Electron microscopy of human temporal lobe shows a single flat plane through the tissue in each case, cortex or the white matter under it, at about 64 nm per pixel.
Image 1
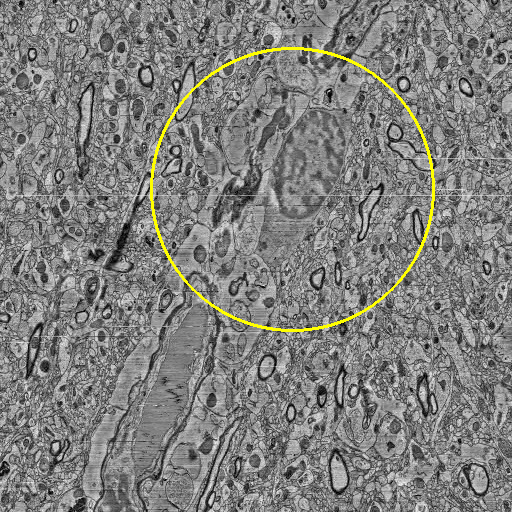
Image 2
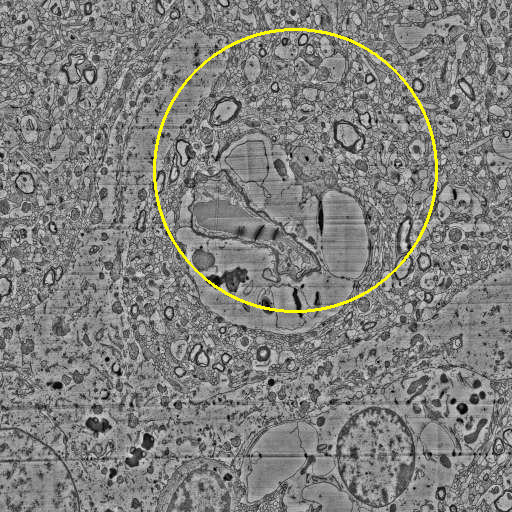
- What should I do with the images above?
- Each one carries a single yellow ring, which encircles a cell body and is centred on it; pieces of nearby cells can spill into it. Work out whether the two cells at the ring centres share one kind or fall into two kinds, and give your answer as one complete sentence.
The ring-centre cells of Image 1 and Image 2 share one kind.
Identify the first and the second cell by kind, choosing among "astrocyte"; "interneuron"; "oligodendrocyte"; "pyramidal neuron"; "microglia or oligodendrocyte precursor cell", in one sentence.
The ring centre holds an oligodendrocyte in each of the two pictures.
